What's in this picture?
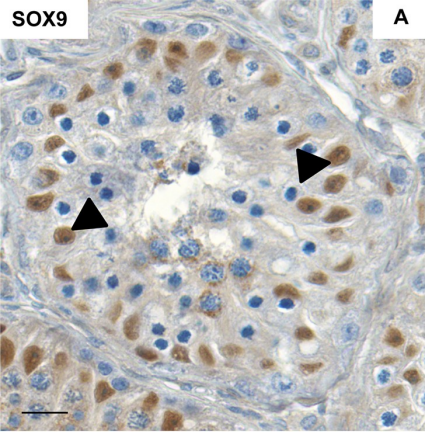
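A cross-section of a tubule of the testis fills the view, its stratified epithelium surrounding an irregular central lumen. Scattered brown-stained nuclei, oval to irregular in shape, lie mostly near the outer edge of the tubule, wedged between the round blue nuclei of germ cells. Many of the unstained germ cell nuclei toward the lumen show coarse, clumped chromatin typical of dividing cells. The surrounding cytoplasm has a faint brown-beige tone. Outside the tubule, a thin band of flattened cells with elongated nuclei forms the wall, and parts of neighbouring tubules with similar brown nuclei appear at the edges.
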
